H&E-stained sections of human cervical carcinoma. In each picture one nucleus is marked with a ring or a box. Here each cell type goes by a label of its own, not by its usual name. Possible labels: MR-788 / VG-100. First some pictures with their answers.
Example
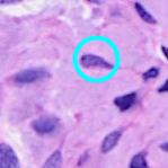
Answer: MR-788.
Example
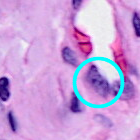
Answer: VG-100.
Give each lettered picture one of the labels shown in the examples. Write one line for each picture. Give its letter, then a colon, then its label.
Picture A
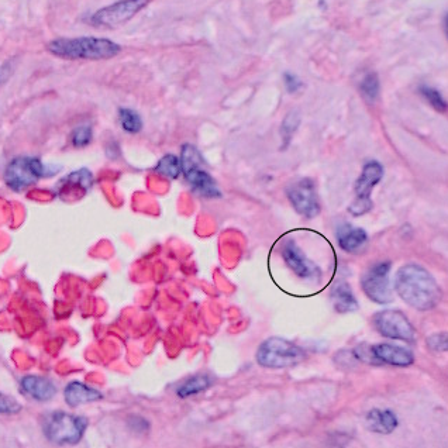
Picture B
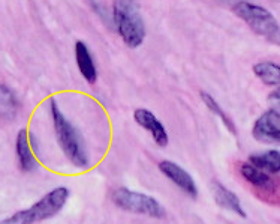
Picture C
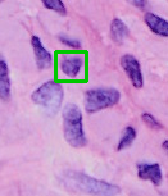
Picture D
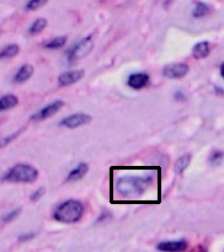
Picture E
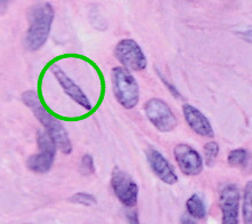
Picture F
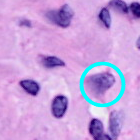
A: VG-100.
B: MR-788.
C: MR-788.
D: VG-100.
E: MR-788.
F: MR-788.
